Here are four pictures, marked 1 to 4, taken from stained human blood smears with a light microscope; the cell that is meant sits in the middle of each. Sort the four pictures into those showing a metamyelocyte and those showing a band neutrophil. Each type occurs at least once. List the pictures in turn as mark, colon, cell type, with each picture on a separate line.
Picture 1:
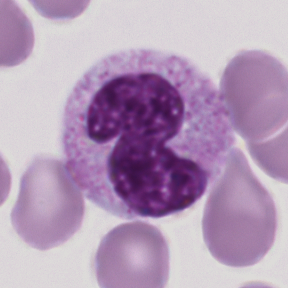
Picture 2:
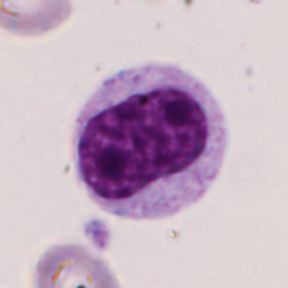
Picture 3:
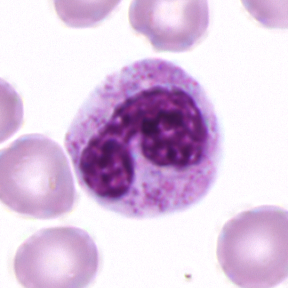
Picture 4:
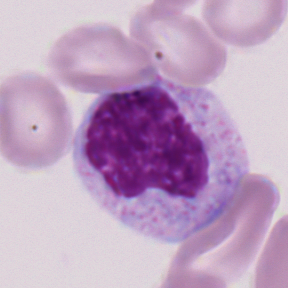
1: band neutrophil
2: metamyelocyte
3: band neutrophil
4: metamyelocyte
